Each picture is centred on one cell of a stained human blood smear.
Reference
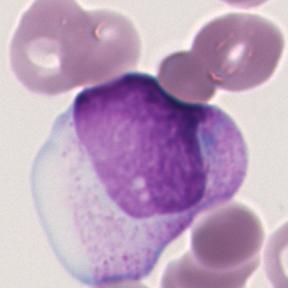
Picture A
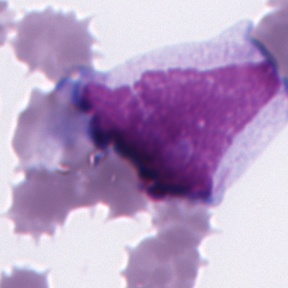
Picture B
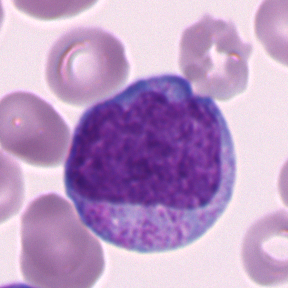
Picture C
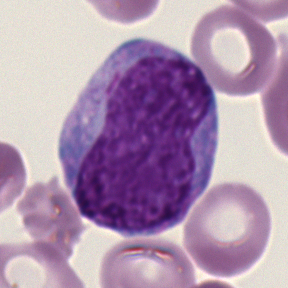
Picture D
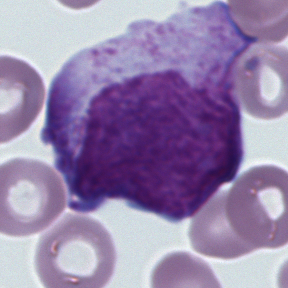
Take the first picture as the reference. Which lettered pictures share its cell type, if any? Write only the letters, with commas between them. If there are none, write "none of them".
B, C, D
